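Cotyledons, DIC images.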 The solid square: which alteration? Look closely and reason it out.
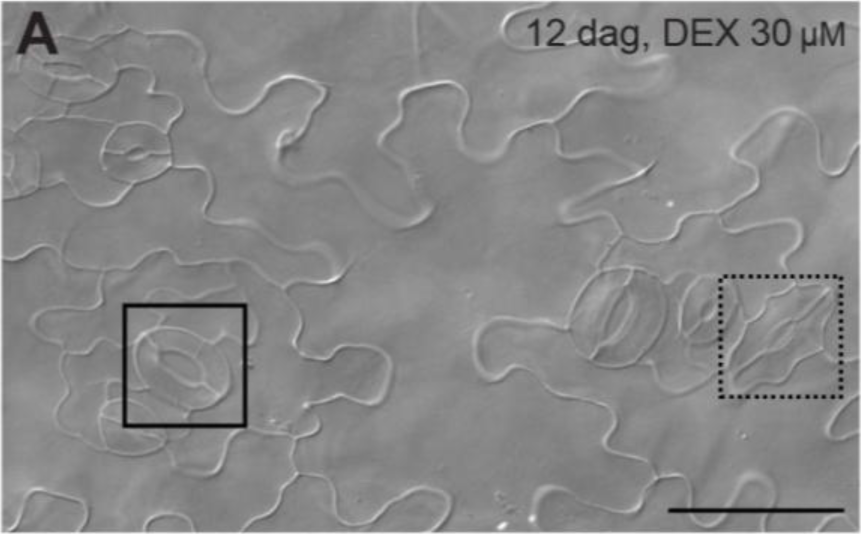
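The boxed stomatal complex has extra walls crossing the guard-cell pair. The complex is split into more than two cells. The answer: abnormal transverse divisions.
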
